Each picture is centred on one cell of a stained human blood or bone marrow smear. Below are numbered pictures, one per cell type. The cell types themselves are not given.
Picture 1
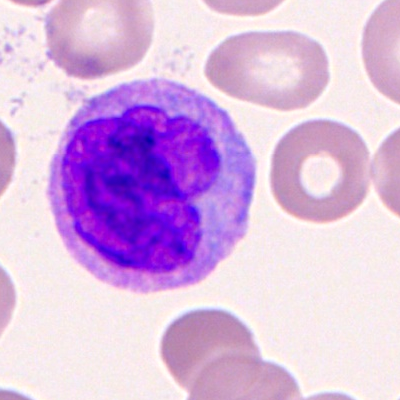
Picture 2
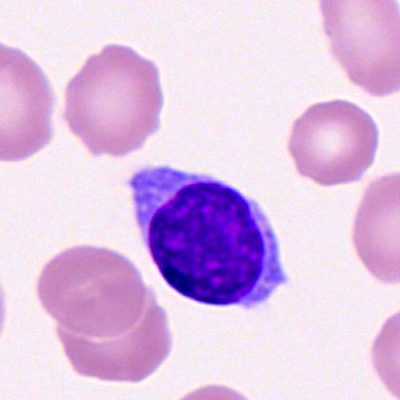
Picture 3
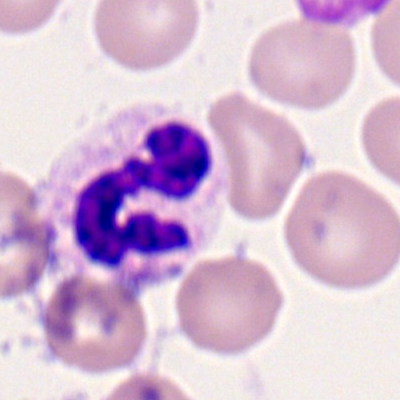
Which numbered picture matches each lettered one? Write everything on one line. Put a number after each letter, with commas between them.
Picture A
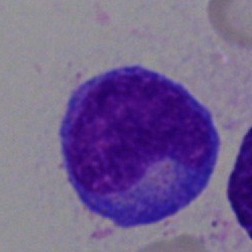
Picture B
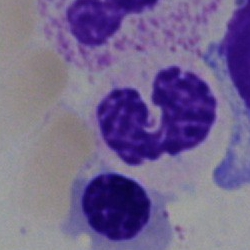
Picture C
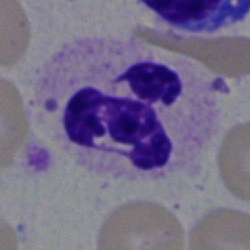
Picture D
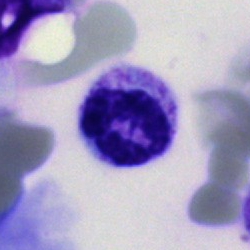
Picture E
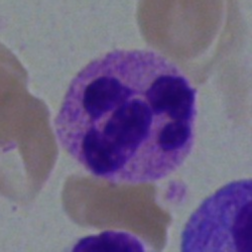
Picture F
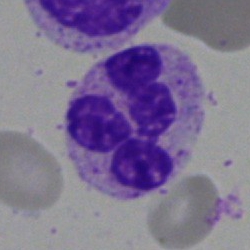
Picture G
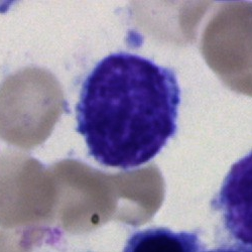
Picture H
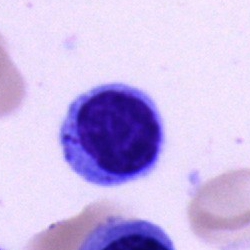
A 1, B 3, C 3, D 3, E 3, F 3, G 2, H 2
